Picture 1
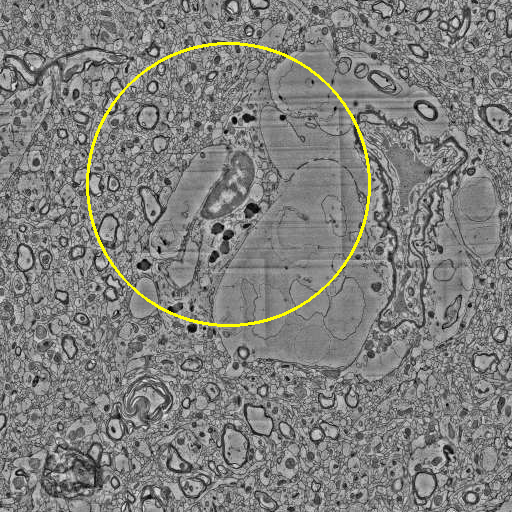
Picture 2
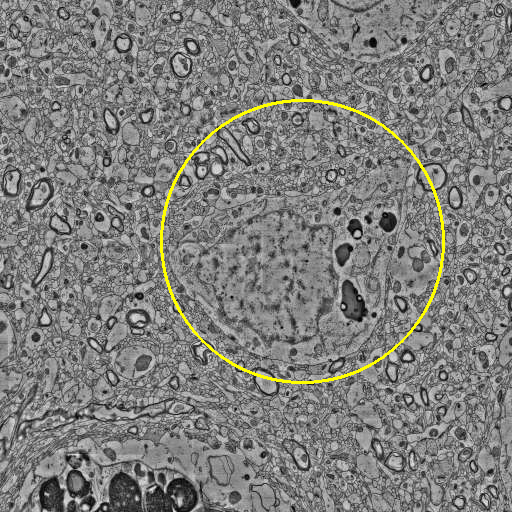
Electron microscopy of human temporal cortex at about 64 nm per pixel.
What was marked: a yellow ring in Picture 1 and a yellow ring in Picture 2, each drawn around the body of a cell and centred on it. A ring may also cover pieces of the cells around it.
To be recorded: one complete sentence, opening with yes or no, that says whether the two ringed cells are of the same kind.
No, the two ringed cells are of two kinds.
